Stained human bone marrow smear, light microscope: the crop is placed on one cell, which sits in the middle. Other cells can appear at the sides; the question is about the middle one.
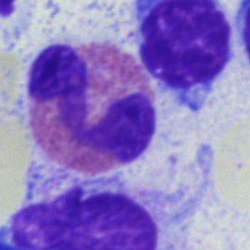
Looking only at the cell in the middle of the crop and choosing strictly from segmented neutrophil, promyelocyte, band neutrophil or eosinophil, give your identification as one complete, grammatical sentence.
This crop is built around an eosinophil at its centre.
